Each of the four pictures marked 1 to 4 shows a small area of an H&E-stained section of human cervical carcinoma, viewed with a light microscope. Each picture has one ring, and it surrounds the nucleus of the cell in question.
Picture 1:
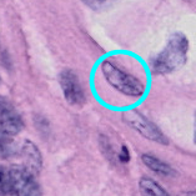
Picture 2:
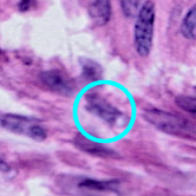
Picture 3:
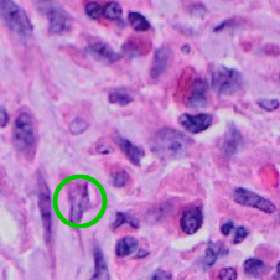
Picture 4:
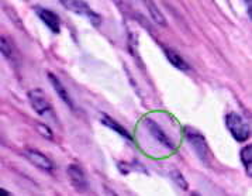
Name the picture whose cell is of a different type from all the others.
1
